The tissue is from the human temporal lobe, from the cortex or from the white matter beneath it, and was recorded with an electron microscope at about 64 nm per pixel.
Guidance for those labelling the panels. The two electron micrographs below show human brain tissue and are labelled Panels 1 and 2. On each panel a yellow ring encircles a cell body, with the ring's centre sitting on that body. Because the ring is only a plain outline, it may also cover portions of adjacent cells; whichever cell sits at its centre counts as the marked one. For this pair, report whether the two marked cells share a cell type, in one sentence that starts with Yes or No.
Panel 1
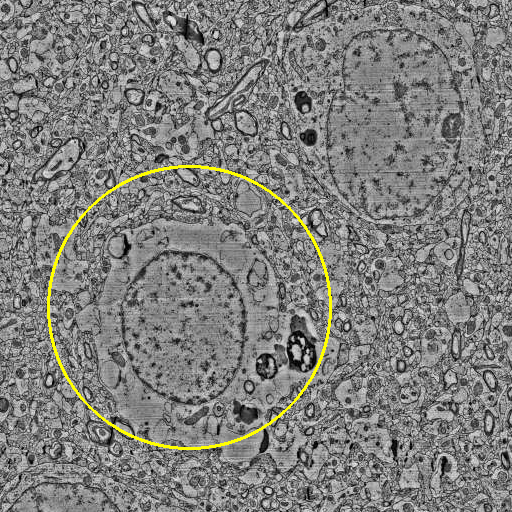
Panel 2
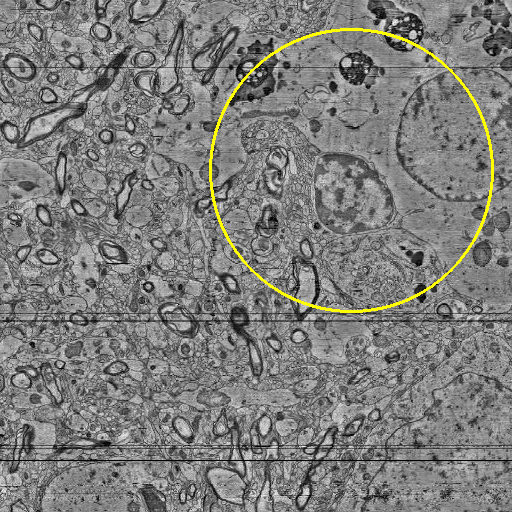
No, in Panel 1 and Panel 2 the marked cells at the ring centres are of two types.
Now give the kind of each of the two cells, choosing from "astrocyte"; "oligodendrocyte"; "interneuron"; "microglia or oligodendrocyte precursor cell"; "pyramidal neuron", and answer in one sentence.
The cell in the first picture is an astrocyte, and the cell in the second is a microglial cell or oligodendrocyte precursor cell.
